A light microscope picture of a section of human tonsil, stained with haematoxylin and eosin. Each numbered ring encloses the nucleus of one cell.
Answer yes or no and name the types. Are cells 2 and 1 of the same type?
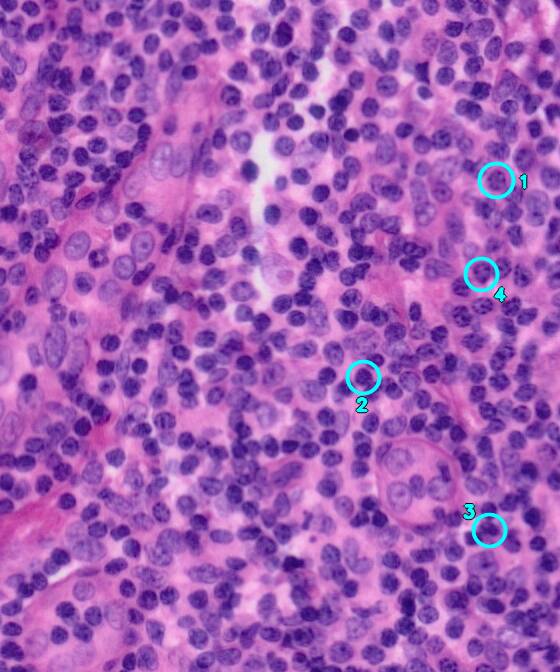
No, cell 2 is a small lymphocyte, and cell 1 is a plasma cell.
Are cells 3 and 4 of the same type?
No, cell 3 is typed as a small lymphocyte, and cell 4 is typed as a plasma cell.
